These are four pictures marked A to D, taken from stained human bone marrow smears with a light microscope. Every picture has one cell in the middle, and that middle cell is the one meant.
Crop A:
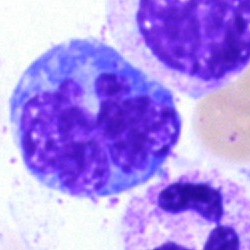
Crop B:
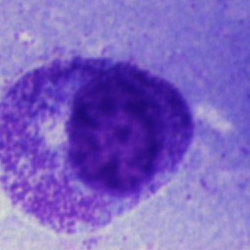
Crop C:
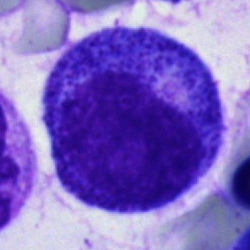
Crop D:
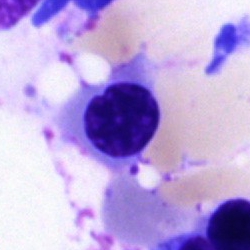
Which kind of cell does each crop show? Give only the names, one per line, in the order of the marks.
monocyte
myelocyte
promyelocyte
erythroblast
